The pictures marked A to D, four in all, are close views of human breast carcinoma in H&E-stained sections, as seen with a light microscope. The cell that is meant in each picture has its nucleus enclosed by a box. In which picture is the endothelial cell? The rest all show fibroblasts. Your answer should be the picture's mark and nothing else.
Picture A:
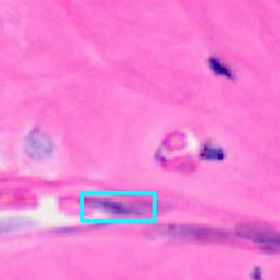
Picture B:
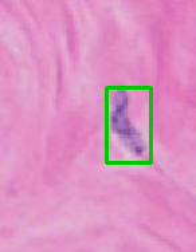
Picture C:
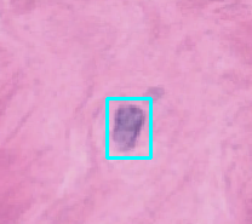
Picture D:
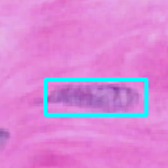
A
